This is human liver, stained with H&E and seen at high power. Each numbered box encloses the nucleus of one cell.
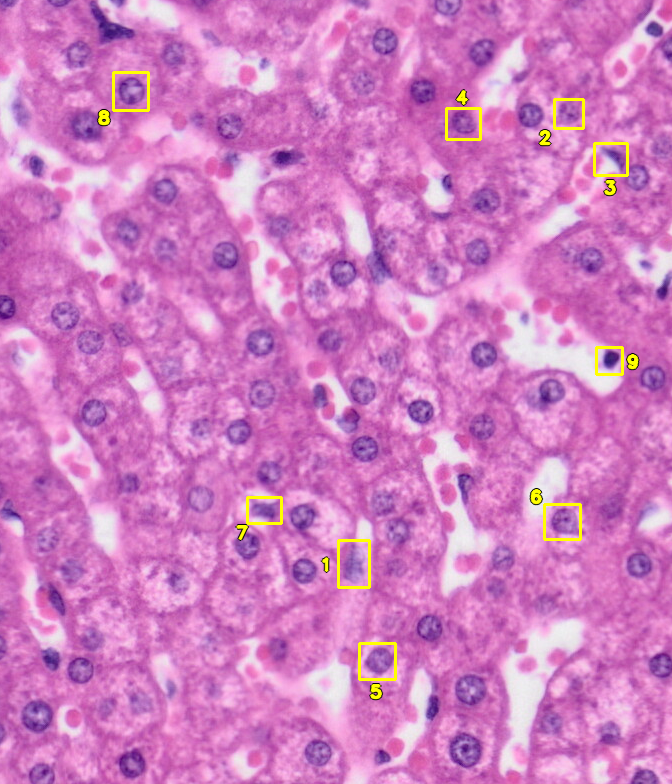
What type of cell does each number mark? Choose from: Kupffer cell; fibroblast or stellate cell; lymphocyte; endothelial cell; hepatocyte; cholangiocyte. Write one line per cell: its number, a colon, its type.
1: endothelial cell
2: hepatocyte
3: endothelial cell
4: hepatocyte
5: hepatocyte
6: hepatocyte
7: Kupffer cell
8: hepatocyte
9: lymphocyte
